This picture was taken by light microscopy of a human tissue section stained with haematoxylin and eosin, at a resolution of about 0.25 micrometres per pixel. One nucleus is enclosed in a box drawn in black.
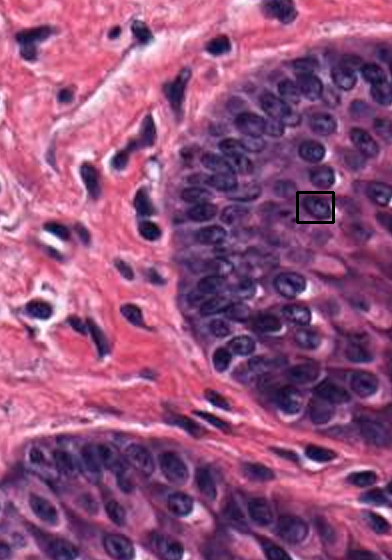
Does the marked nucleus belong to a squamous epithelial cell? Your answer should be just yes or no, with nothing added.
yes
